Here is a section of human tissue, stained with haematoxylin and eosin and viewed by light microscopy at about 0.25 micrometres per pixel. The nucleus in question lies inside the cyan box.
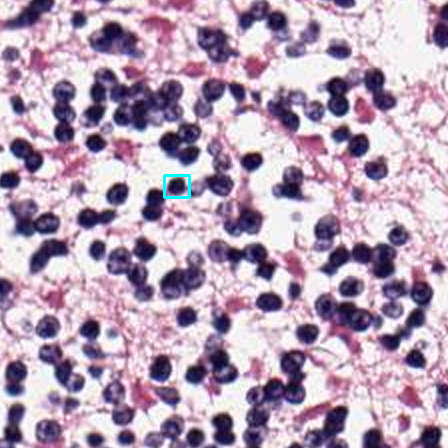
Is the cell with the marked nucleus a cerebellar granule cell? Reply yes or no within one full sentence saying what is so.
Yes, the marked nucleus is in a cerebellar granule cell.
